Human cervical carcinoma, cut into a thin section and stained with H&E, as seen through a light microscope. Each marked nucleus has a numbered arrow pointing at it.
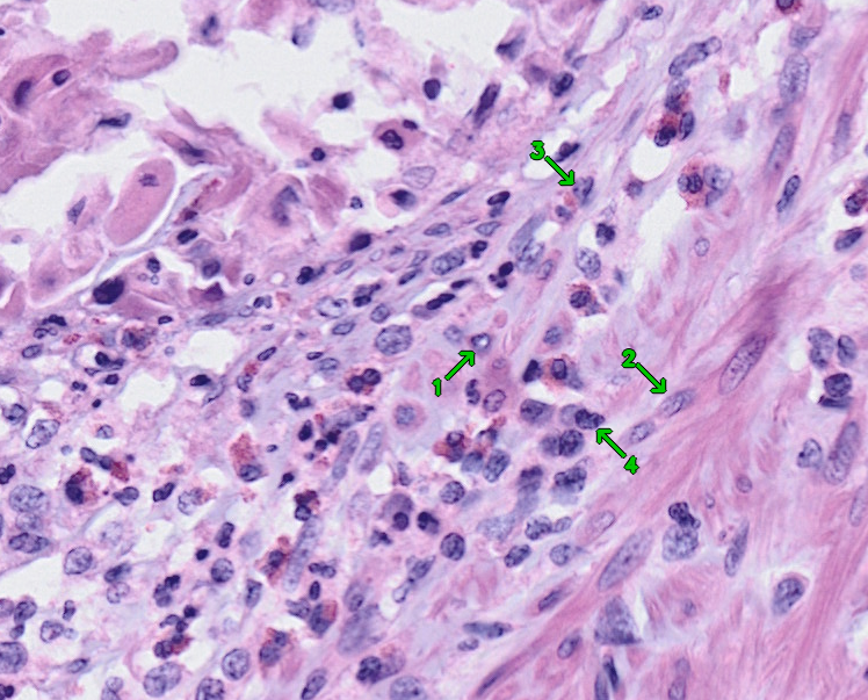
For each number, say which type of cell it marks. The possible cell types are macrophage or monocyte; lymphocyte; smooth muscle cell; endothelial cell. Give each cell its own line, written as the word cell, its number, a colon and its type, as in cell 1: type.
cell 1: smooth muscle cell
cell 2: smooth muscle cell
cell 3: macrophage or monocyte
cell 4: lymphocyte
